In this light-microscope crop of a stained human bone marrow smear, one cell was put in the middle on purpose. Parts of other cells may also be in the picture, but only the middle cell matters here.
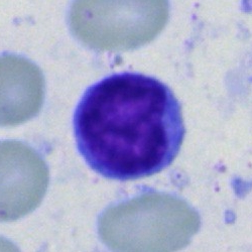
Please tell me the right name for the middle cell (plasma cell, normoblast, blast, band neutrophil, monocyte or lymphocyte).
lymphocyte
